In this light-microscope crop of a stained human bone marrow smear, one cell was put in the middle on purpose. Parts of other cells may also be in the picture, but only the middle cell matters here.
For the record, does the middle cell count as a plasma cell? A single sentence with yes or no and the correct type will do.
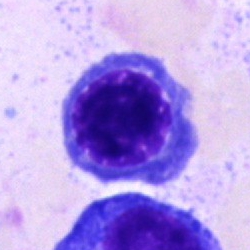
No, the cell sitting in the centre of the crop is an erythroblast, not a plasma cell.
